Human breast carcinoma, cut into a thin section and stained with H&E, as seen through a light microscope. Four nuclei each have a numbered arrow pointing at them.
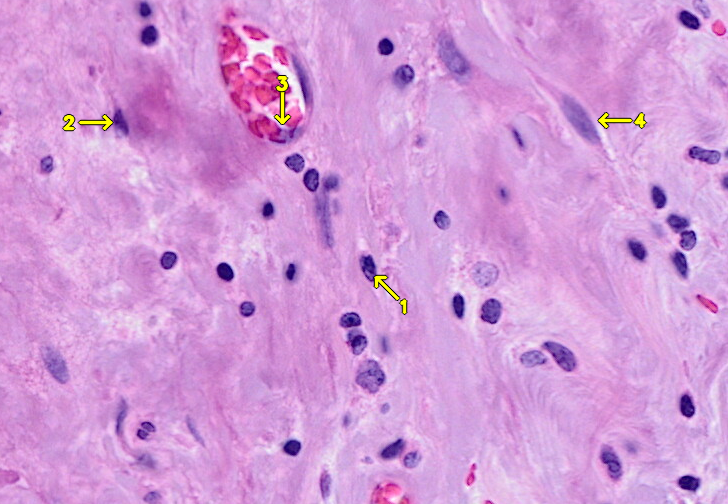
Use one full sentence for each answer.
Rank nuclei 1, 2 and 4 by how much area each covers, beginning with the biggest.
From largest to smallest, the order is 4, 1, 2.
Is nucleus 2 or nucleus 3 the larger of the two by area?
Nucleus 3 covers more area, about 2.5 times as much as nucleus 2.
